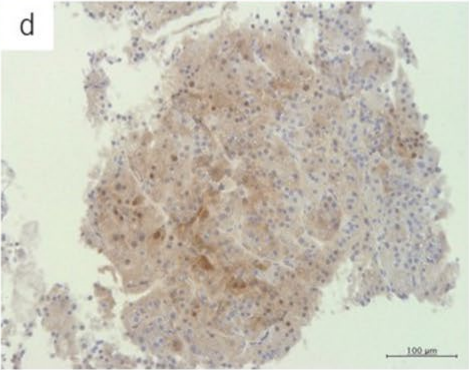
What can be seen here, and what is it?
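A light-to-moderate brown stain fills the cytoplasm of many of the cells, with some cells staining more strongly than others. The edges of the fragment are looser, with paler cells and fewer brown-staining cell bodies.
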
